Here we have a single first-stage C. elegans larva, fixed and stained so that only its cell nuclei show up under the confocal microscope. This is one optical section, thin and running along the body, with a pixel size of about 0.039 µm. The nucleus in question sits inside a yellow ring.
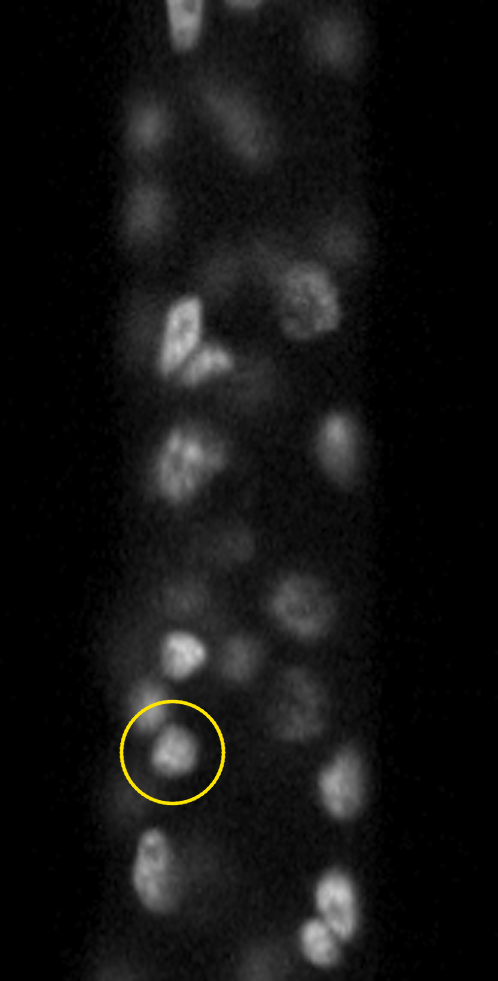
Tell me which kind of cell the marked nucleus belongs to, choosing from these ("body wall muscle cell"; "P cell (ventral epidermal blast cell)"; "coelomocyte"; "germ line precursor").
coelomocyte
